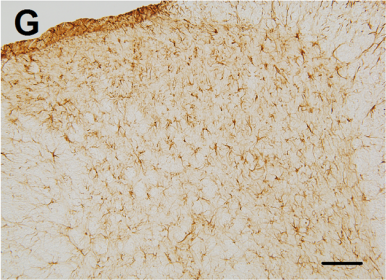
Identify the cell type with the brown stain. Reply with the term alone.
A: Astrocytes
